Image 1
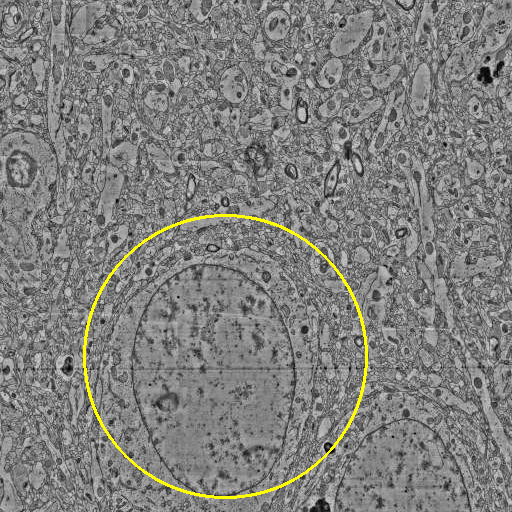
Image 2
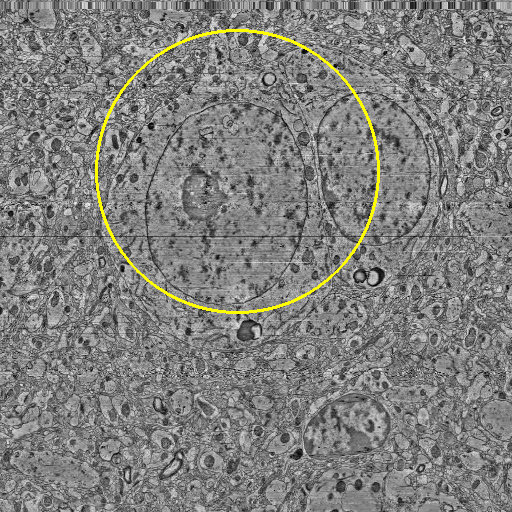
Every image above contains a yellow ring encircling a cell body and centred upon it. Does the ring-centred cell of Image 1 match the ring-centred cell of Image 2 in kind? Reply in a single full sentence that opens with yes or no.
Yes, the cell at the ring's centre in Image 1 is the same kind as that in Image 2.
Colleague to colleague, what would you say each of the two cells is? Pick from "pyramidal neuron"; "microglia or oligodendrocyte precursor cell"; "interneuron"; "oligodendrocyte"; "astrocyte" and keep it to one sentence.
The cell in the first picture is a pyramidal neuron, and so is the one in the second.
